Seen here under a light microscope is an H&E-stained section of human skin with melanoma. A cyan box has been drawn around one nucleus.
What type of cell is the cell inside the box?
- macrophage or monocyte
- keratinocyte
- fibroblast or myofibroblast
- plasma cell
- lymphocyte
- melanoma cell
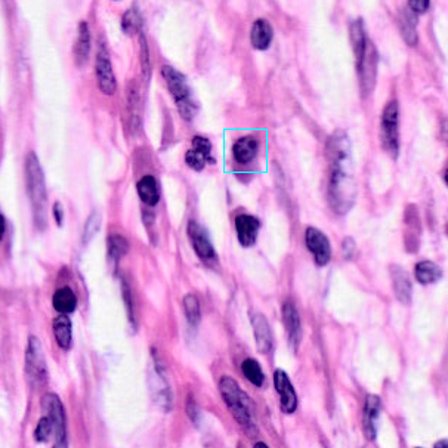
plasma cell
